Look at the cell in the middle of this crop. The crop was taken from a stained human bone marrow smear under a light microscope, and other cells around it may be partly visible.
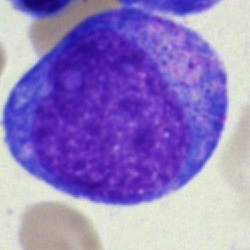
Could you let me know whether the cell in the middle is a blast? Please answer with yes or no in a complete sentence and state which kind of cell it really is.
Yes, the middle cell of the field is a blast.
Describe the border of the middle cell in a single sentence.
Its periphery is smooth, and no projections arise from it.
